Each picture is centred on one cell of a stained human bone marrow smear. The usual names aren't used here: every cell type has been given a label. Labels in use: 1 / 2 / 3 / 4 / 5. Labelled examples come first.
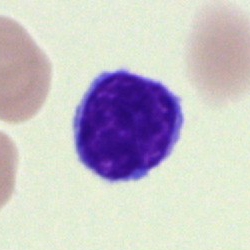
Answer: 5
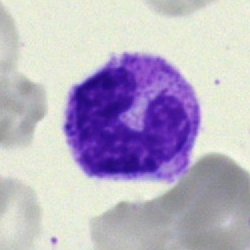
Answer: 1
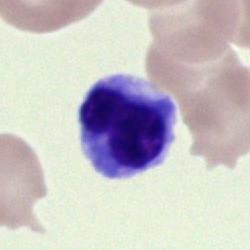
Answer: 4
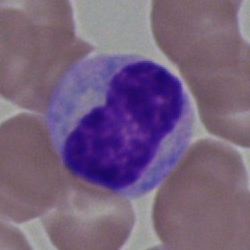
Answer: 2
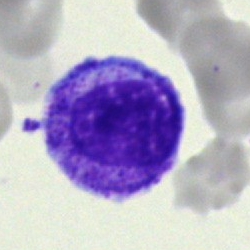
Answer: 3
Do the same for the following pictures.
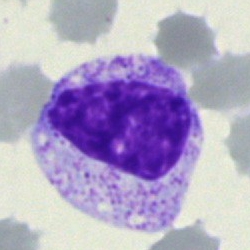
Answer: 2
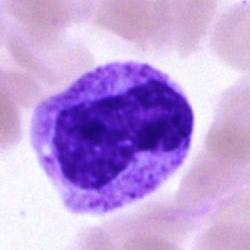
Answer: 2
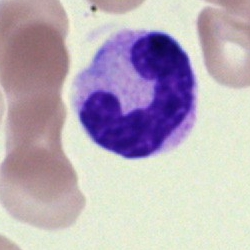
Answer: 1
